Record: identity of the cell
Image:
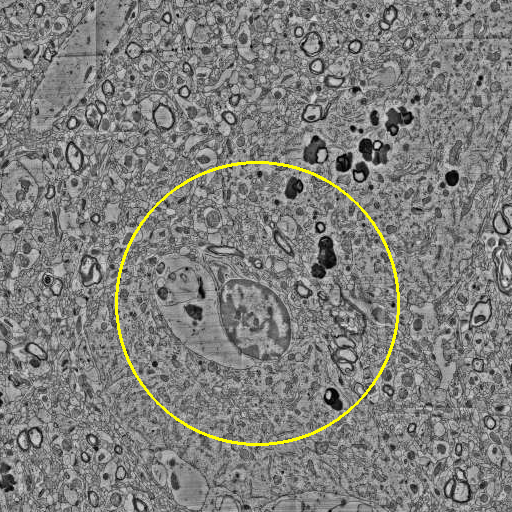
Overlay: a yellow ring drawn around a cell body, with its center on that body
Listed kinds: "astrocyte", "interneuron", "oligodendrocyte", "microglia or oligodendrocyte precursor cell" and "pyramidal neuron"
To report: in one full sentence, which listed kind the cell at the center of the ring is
In the image, the cell body at the ring's center belongs to a microglial cell or oligodendrocyte precursor cell.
